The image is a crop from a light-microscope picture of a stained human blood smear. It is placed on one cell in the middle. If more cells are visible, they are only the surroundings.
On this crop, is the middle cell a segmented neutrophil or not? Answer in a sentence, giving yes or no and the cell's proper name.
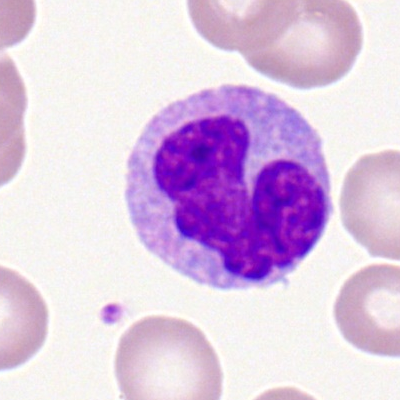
No, the cell occupying the centre is a monocyte, not a segmented neutrophil.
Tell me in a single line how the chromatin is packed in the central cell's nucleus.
If you check the nucleus, you will find the chromatin coarsely clumped.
